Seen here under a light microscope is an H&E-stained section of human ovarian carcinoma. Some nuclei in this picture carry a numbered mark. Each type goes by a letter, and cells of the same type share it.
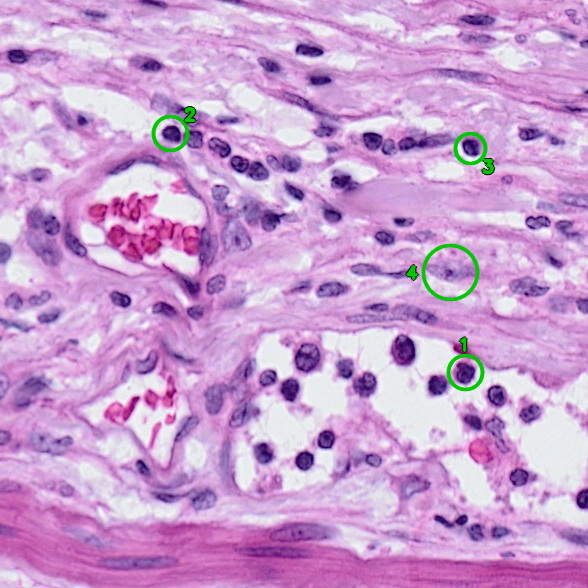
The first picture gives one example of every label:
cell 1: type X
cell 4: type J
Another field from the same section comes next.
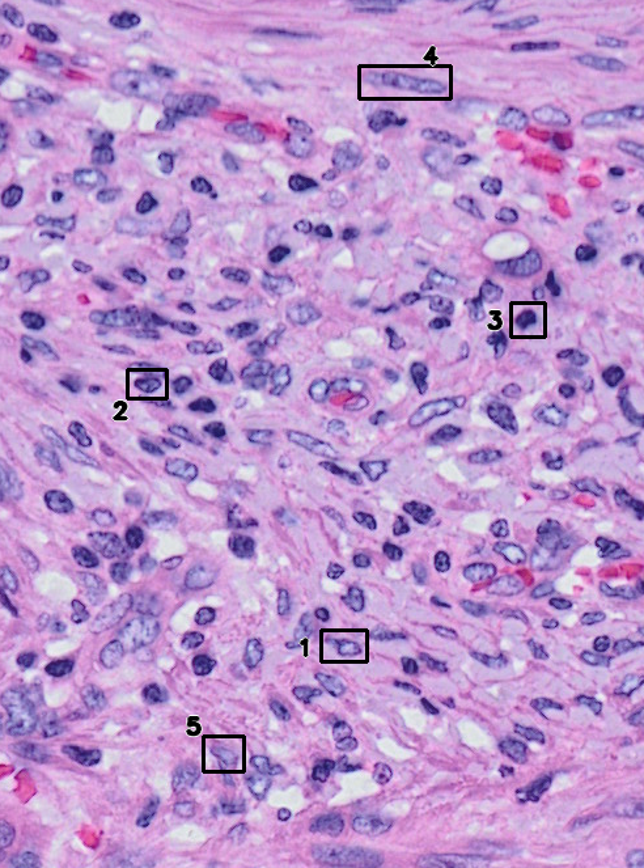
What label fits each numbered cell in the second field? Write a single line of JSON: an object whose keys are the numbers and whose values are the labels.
{"1": "type J", "2": "type X", "3": "type X", "4": "type J", "5": "type J"}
